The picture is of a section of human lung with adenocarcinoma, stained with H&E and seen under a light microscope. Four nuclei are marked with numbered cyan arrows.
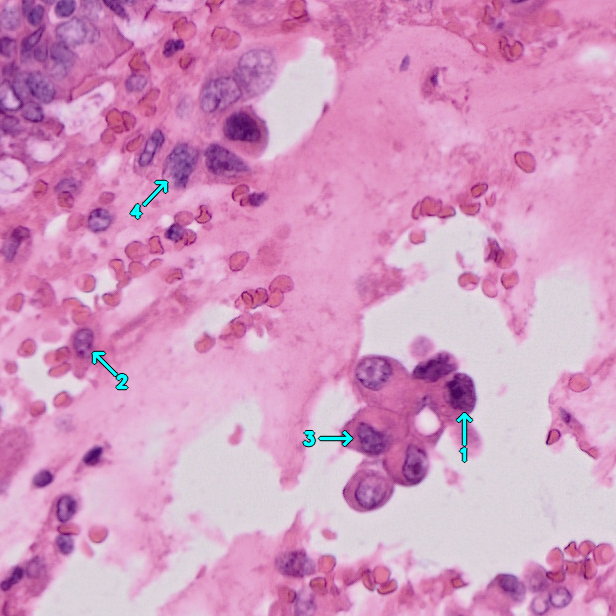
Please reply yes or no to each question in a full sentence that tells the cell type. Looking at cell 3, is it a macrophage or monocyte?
No, it is not a macrophage or monocyte that bears number 3 but a carcinoma cell.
